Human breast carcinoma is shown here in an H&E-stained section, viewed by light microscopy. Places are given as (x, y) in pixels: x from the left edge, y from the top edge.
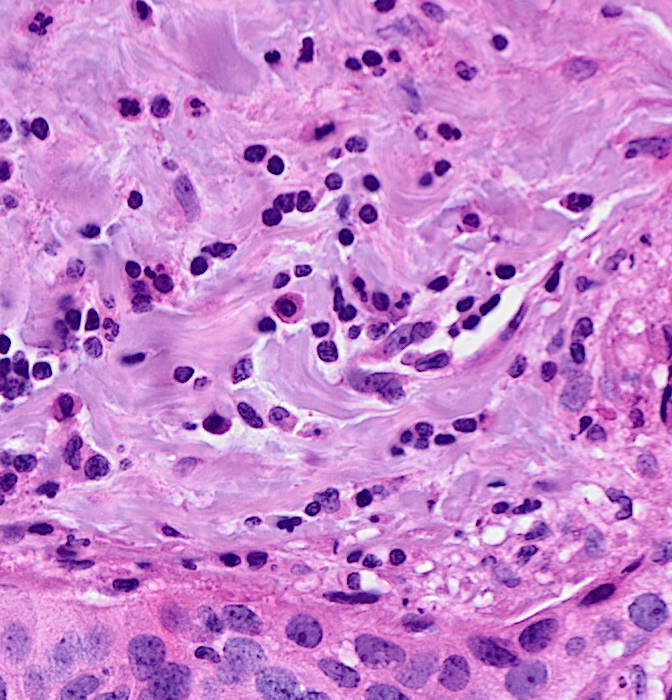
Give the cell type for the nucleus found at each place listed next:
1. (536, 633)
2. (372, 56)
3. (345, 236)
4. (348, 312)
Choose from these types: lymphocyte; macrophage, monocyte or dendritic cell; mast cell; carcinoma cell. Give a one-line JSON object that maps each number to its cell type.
{"1": "carcinoma cell", "2": "lymphocyte", "3": "lymphocyte", "4": "lymphocyte"}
